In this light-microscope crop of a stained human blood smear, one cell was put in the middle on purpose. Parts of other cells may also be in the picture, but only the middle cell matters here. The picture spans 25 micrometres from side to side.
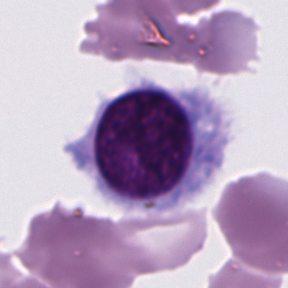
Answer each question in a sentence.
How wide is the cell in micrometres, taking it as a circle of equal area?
About 12 micrometres: that is the cell's diameter.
